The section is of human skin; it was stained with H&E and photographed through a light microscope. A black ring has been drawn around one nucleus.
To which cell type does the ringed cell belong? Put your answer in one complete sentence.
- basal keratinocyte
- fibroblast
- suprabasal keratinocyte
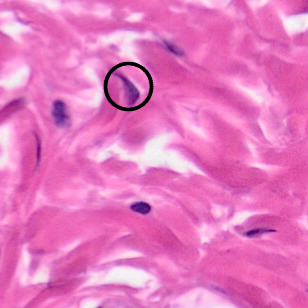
The cell meant here is a fibroblast.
